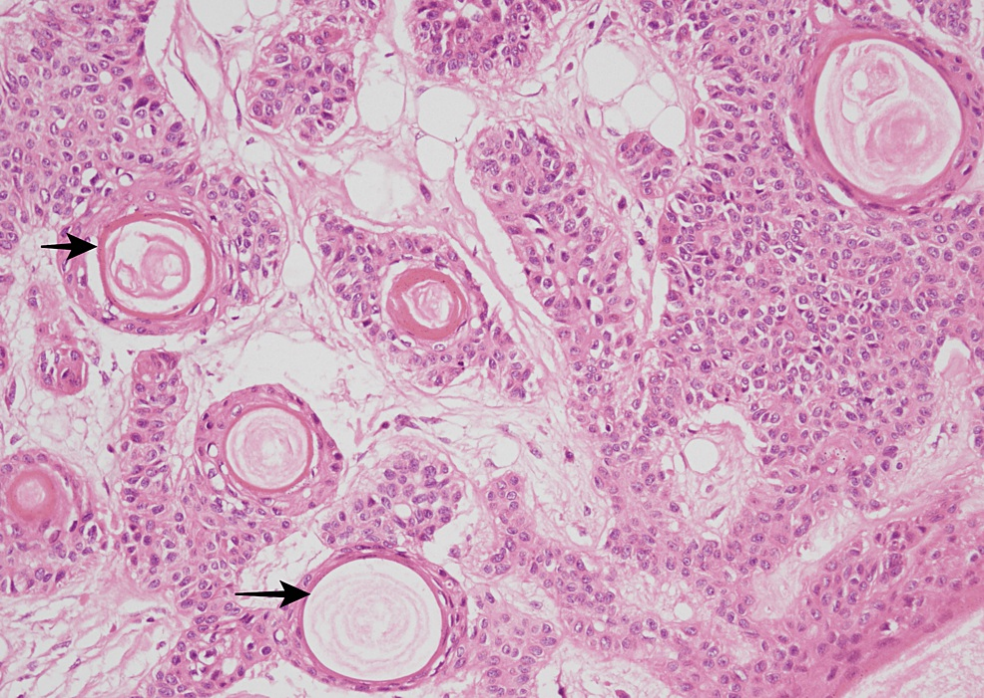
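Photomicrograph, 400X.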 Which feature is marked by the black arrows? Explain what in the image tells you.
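Kerationous cyst. Round cysts filled with pale pink, concentrically layered material. Each cyst is rimmed by a thin band of flattened epithelial cells. The cysts lie inside nests of small, dark-nucleated epithelial cells.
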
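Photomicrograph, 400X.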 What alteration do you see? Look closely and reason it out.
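Nests and cords of basaloid epithelial cells lie in a loose fibrous stroma. Several small keratin-filled cysts form within the epithelial nests. So: follicular differentiation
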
